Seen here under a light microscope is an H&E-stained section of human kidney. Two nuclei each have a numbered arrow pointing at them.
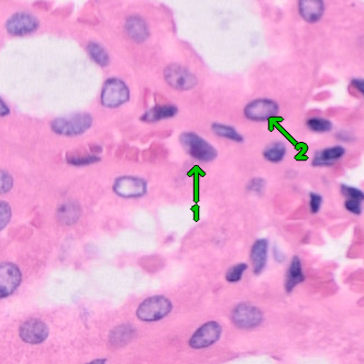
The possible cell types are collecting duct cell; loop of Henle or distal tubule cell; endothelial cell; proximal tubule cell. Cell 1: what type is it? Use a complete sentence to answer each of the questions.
The label 1 in this section denotes an endothelial cell.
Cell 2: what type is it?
The nucleus with number 2 is that of a proximal tubule cell.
